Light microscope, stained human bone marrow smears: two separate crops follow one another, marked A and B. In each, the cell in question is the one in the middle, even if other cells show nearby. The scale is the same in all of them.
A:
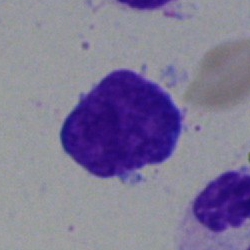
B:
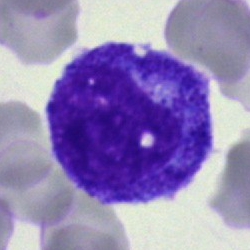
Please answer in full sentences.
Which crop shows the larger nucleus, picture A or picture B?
It is the nucleus in picture B, about 1.5 times as large in area as the one in picture A.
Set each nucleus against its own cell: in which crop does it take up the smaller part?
Of the two, the nucleus in picture B leaves more room for cytoplasm.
